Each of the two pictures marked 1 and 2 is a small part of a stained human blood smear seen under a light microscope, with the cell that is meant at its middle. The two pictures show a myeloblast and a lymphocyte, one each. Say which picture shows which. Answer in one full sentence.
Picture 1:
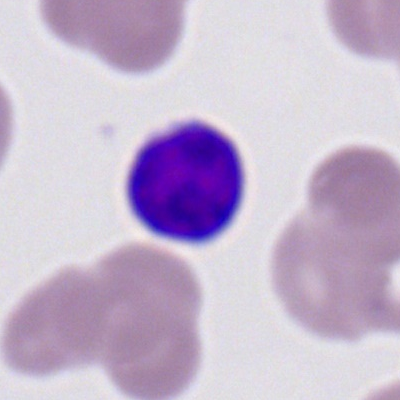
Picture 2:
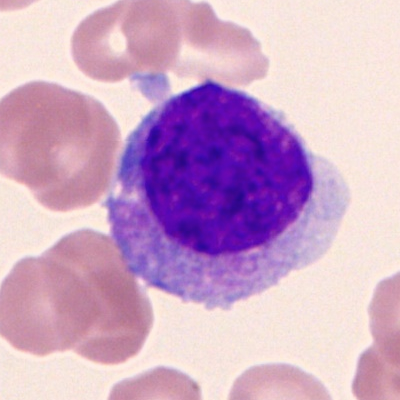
Picture 2 shows a myeloblast, while picture 1 shows a lymphocyte.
